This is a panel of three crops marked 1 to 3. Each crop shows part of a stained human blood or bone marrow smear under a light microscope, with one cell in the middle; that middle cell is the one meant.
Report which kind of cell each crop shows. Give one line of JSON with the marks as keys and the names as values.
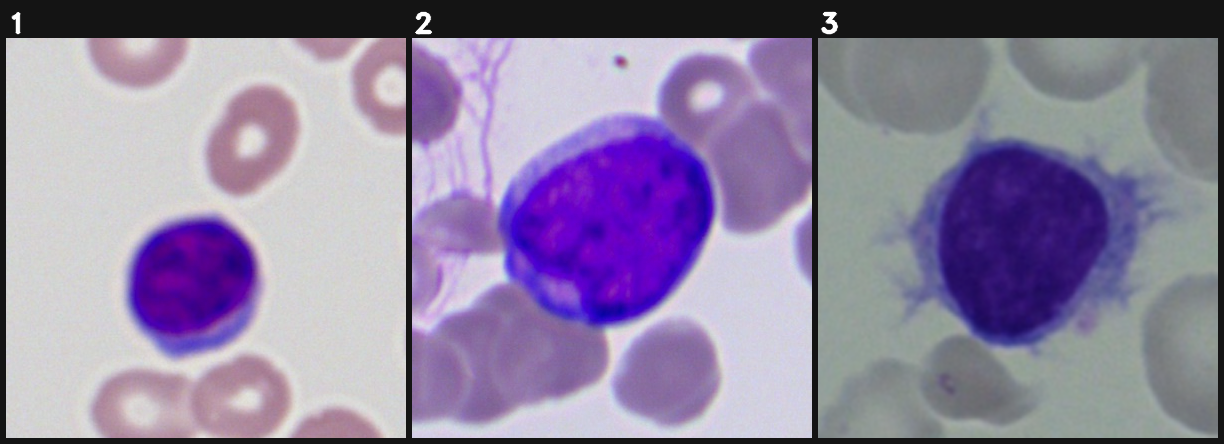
{"1": "lymphocyte", "2": "blast", "3": "lymphocyte"}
